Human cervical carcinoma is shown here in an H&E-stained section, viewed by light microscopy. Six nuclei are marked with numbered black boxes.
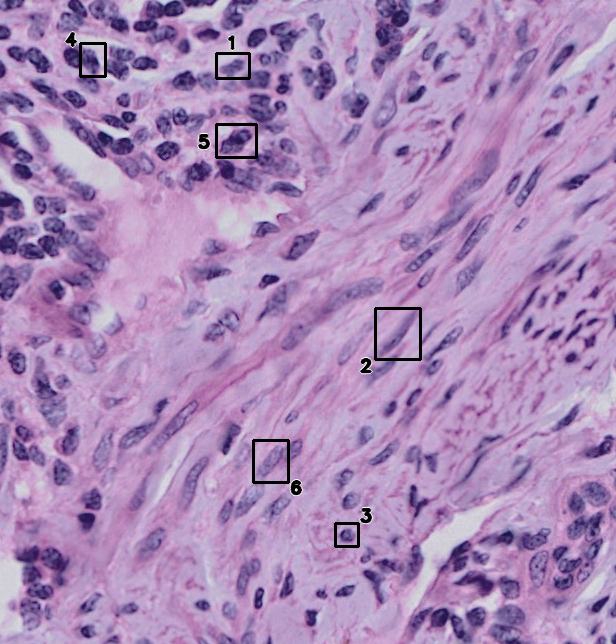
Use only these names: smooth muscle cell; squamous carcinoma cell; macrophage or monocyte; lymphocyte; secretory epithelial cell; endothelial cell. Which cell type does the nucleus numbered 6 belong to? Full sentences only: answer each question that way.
The identity of cell 6 is that of a smooth muscle cell.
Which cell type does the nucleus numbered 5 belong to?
In this section, number 5 marks a lymphocyte.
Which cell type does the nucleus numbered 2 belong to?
The cell assigned the number 2 is a smooth muscle cell.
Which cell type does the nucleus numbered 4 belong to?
Cell 4, among those numbered, is a lymphocyte.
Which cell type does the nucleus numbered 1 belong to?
As for number 1, that cell is a lymphocyte.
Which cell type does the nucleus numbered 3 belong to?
Here, the cell given the number 3 is a smooth muscle cell.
